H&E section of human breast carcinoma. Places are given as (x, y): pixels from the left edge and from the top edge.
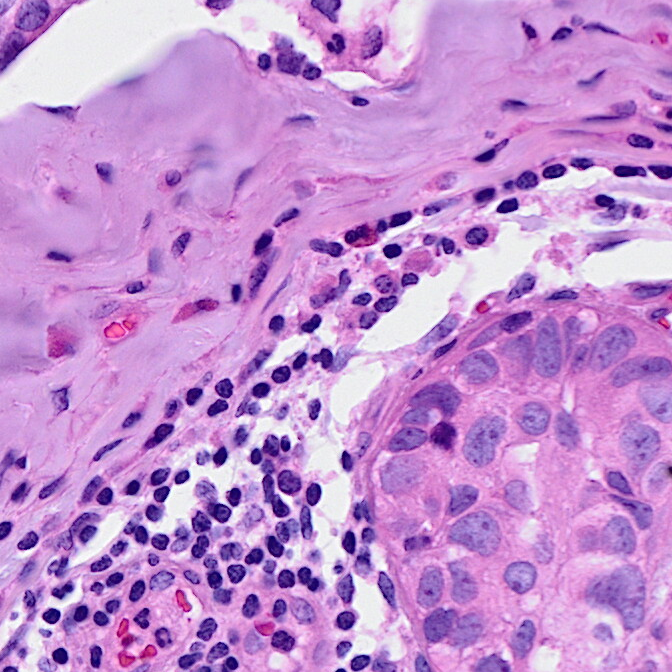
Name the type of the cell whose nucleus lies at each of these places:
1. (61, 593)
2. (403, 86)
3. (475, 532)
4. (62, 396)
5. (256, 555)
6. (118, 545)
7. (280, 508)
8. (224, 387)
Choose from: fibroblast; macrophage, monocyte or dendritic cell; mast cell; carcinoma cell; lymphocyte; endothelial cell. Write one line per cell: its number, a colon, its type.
1: lymphocyte
2: fibroblast
3: carcinoma cell
4: fibroblast
5: lymphocyte
6: lymphocyte
7: lymphocyte
8: lymphocyte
